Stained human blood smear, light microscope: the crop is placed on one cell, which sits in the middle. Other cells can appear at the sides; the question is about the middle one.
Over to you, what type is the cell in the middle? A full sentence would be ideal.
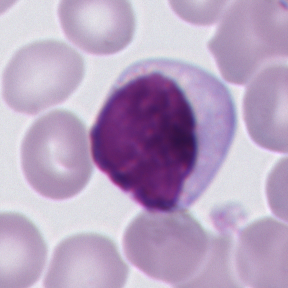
On this slide crop, the central cell is a large granular lymphocyte.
